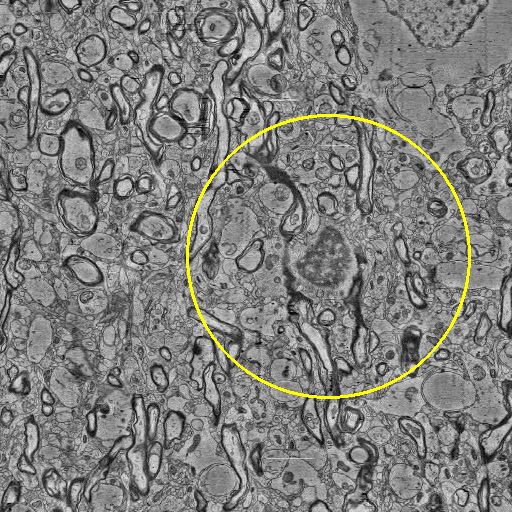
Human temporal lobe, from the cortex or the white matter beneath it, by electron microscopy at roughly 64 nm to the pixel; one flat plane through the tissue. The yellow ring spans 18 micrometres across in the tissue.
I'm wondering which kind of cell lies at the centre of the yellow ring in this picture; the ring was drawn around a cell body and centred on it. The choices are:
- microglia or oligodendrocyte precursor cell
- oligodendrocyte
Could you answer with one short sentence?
At the centre of the ring lies an oligodendrocyte.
